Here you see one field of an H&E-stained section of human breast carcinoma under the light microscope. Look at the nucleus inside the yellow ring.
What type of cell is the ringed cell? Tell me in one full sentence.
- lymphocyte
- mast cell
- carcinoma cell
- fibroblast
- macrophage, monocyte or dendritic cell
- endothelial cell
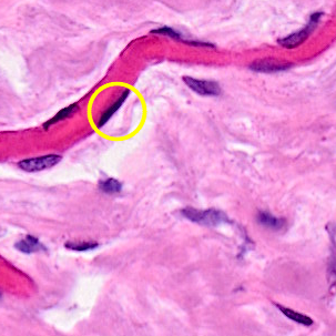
What the ringed cell represents is an endothelial cell.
